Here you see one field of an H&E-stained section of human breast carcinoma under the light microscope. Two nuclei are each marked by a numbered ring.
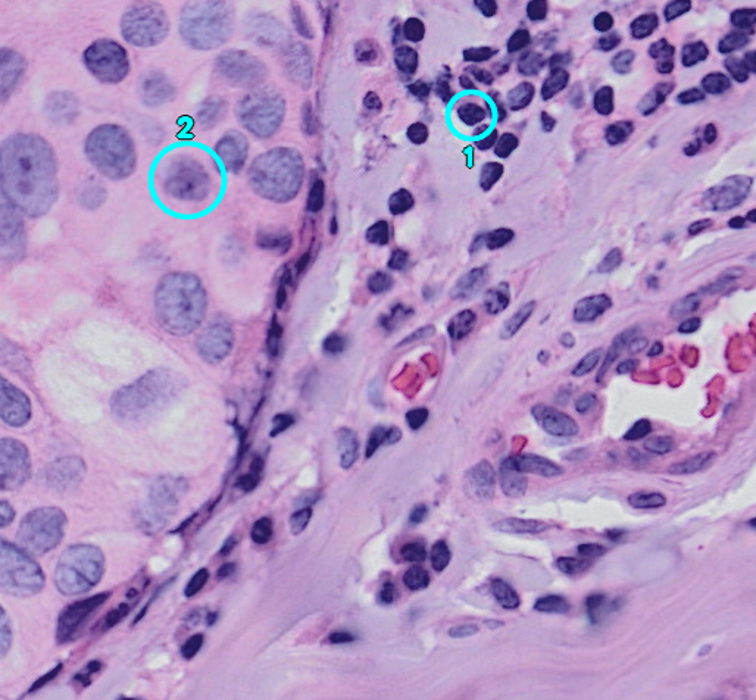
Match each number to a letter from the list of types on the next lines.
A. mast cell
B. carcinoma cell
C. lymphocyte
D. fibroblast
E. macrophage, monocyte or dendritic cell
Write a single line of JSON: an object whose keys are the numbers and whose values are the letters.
{"1": "C", "2": "B"}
